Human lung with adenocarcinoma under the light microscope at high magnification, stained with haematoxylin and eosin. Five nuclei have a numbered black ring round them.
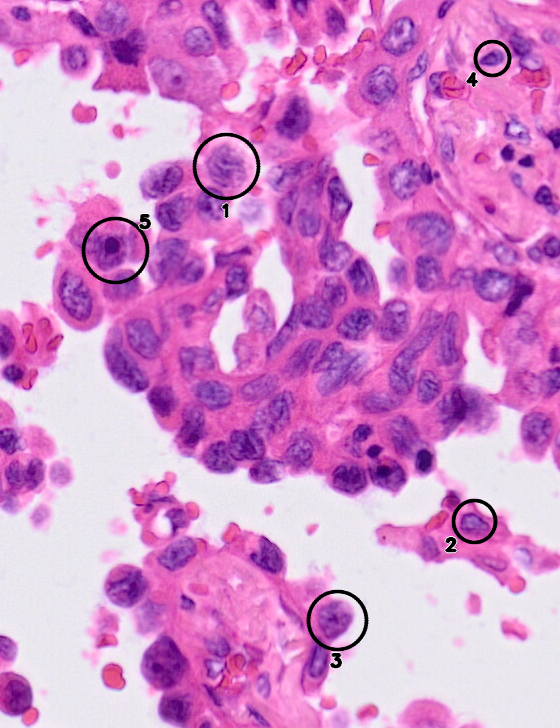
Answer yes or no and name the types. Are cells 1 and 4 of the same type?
No, cell 4 is a lymphocyte, and cell 1 is a carcinoma cell.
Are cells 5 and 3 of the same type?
Yes, going by number, cells 5 and 3 are both carcinoma cells.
